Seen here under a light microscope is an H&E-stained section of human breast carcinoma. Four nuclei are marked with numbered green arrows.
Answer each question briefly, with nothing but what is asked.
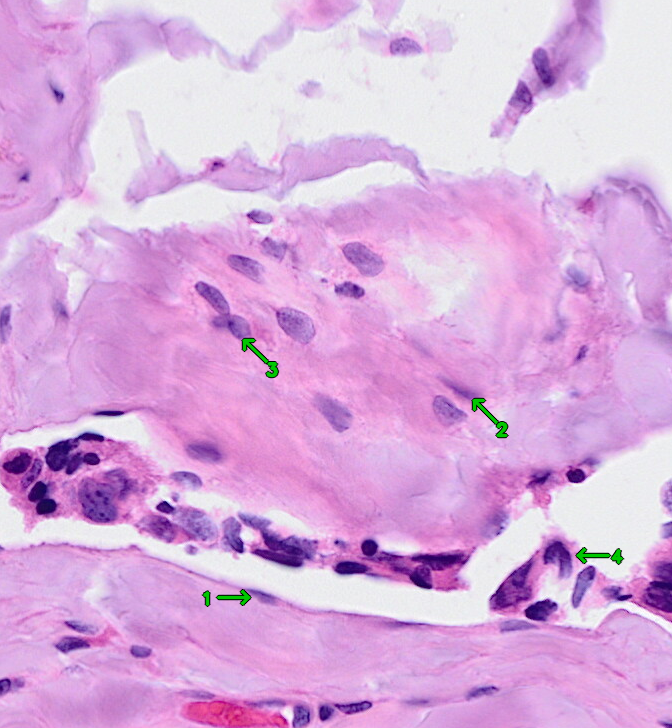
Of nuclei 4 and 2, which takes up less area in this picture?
2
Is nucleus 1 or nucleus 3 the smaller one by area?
1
